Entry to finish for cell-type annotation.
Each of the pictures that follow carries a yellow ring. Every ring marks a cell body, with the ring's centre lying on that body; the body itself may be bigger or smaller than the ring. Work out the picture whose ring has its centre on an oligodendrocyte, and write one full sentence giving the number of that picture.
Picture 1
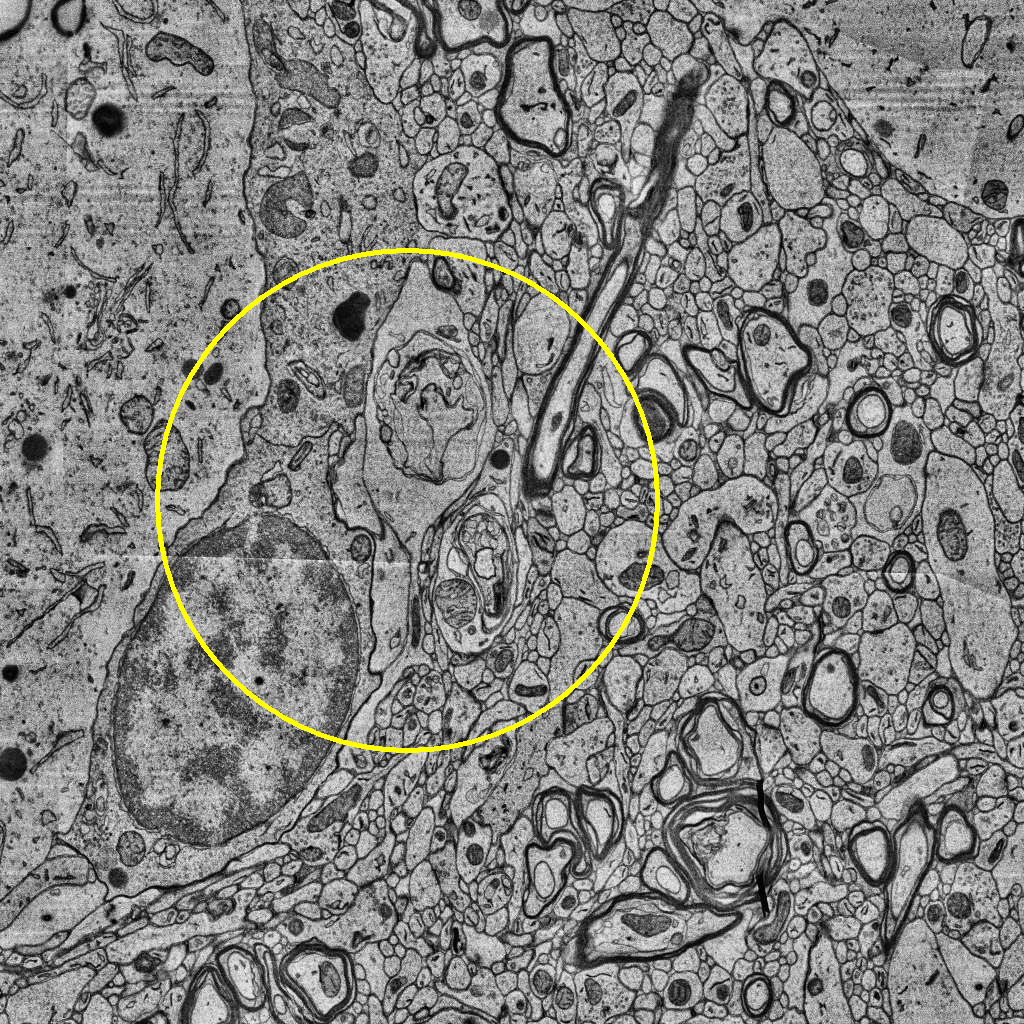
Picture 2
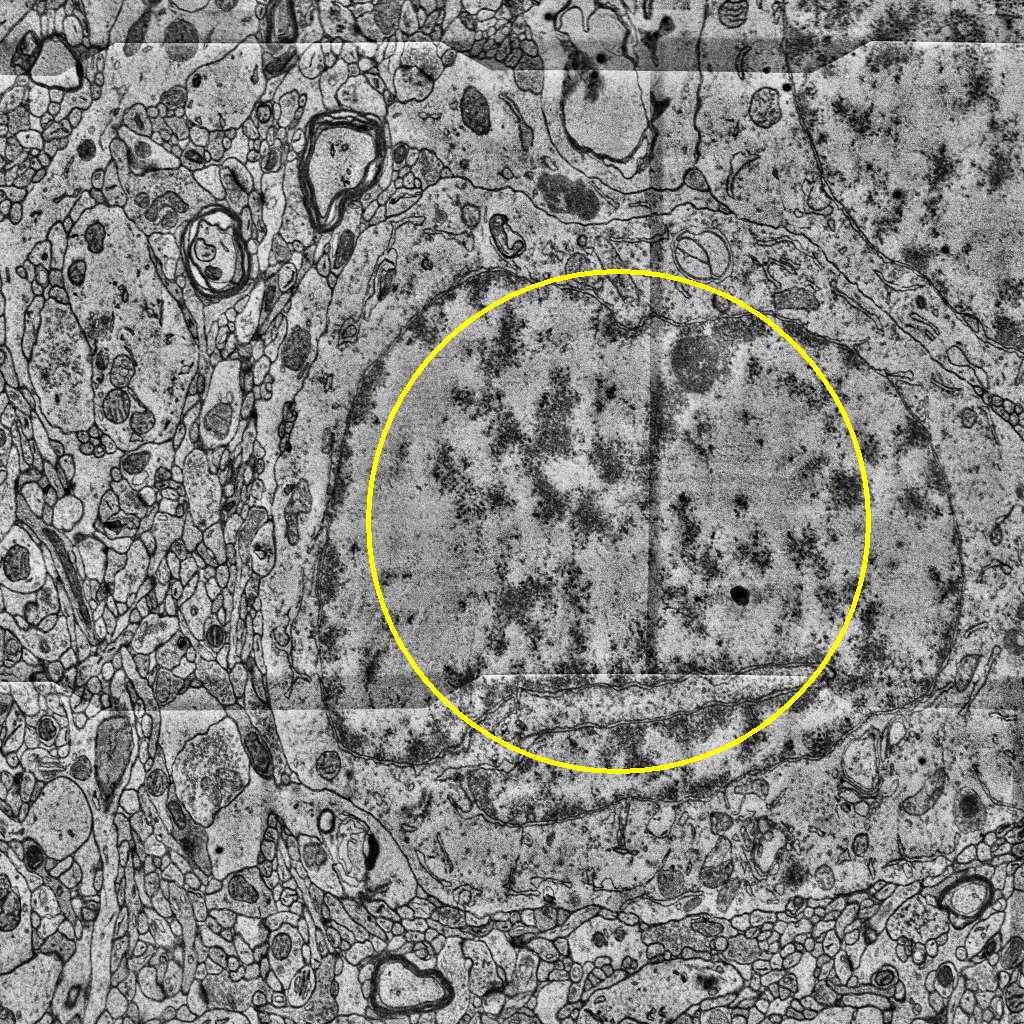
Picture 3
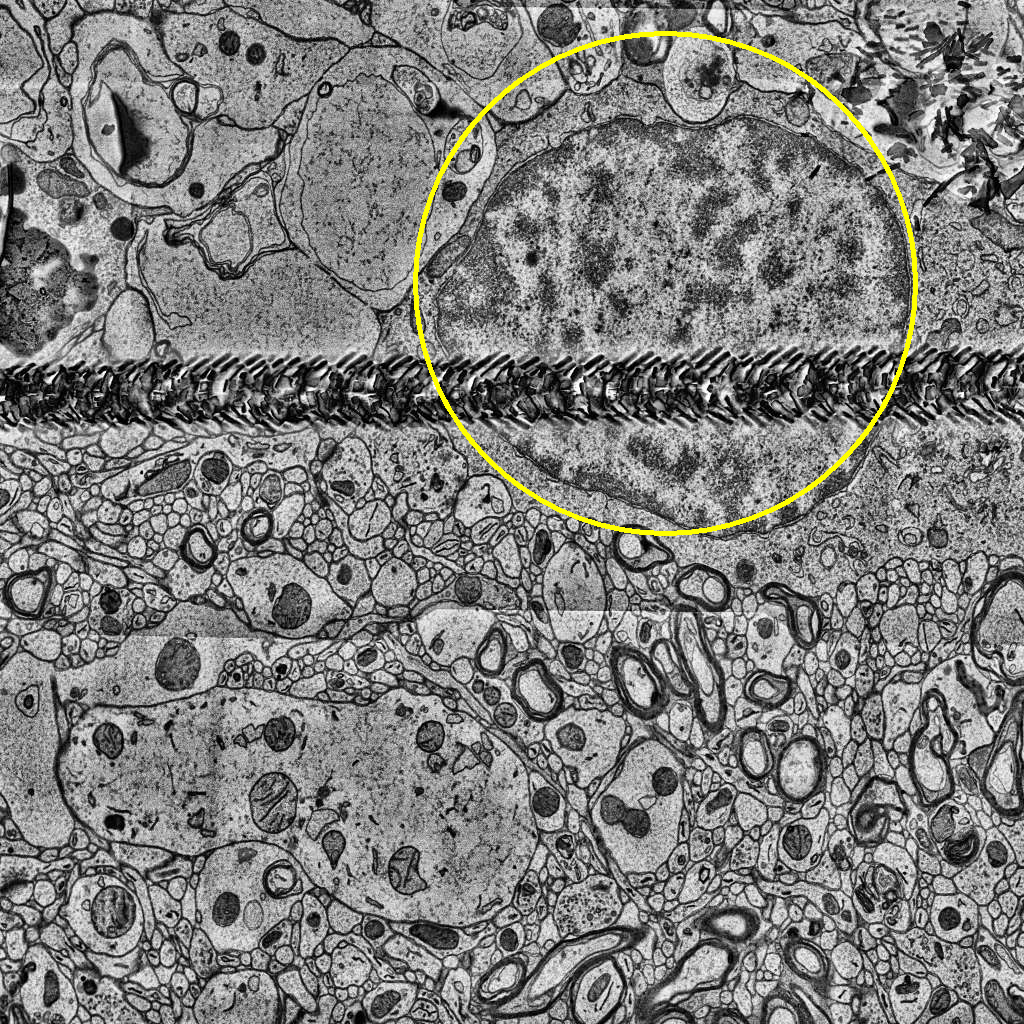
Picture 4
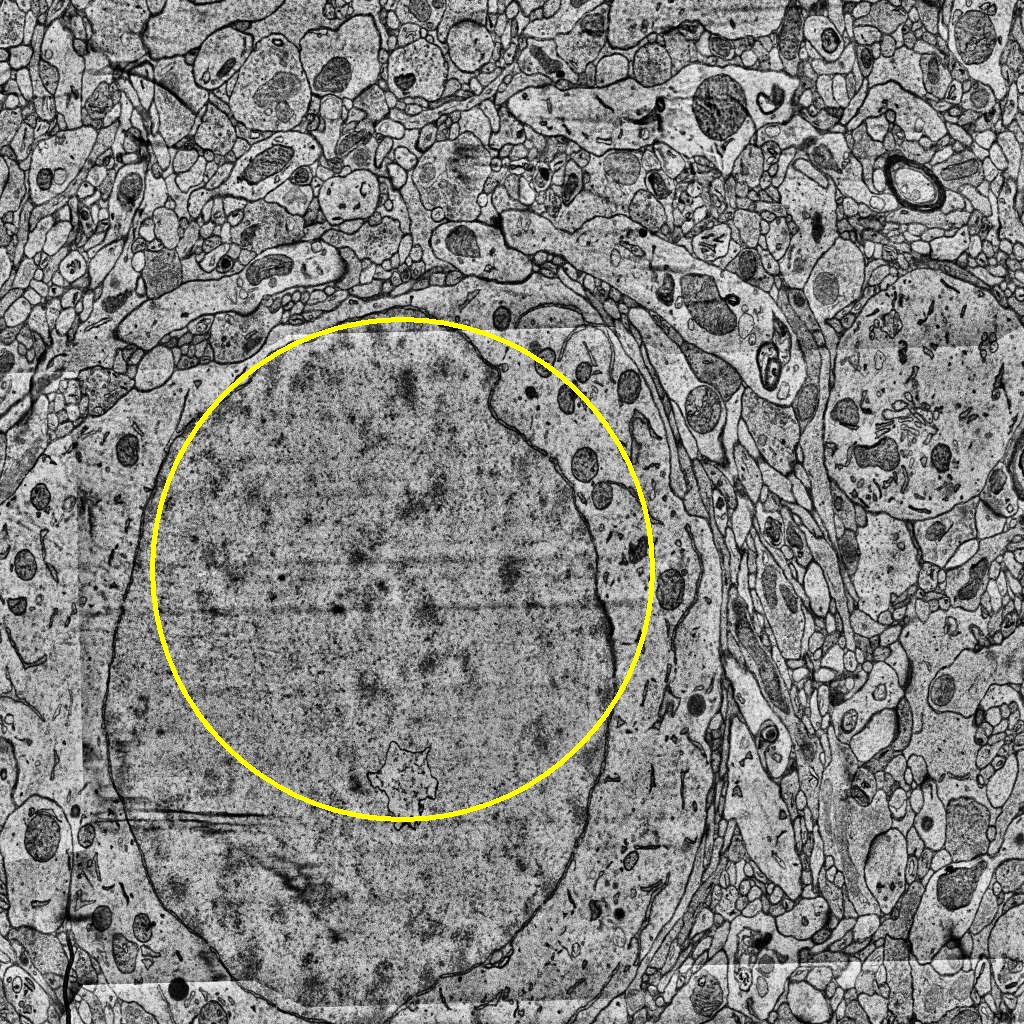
The cell lying at the ring's centre in picture 3 matches the request.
